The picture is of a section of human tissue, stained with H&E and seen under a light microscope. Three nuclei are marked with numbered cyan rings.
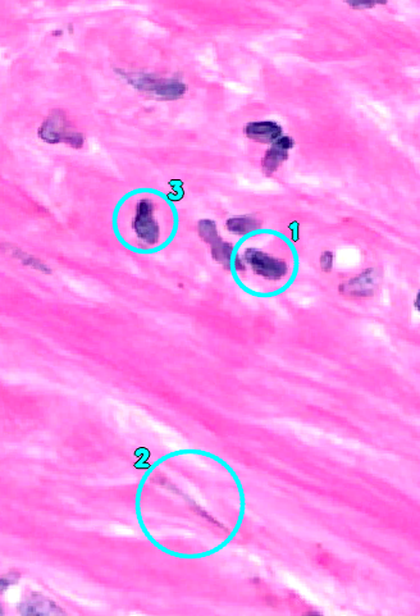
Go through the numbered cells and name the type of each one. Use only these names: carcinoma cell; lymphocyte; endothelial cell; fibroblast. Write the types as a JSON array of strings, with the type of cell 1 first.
["lymphocyte", "fibroblast", "lymphocyte"]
